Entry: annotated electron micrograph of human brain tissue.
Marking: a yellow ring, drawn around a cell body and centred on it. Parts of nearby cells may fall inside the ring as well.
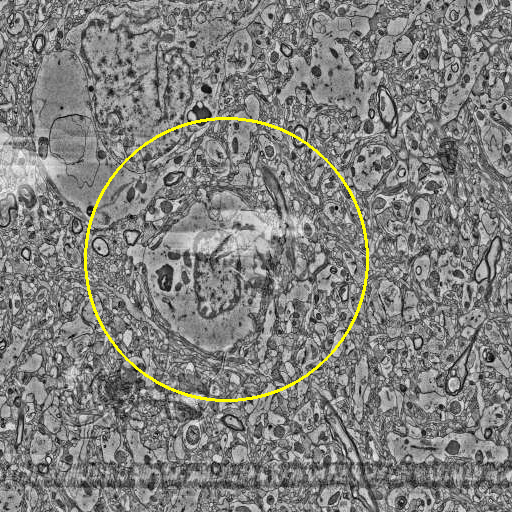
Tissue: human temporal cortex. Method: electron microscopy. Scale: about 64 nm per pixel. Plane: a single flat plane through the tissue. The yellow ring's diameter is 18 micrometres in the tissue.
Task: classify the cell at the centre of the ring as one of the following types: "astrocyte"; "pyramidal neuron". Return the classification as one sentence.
The marked cell is classified as an astrocyte.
